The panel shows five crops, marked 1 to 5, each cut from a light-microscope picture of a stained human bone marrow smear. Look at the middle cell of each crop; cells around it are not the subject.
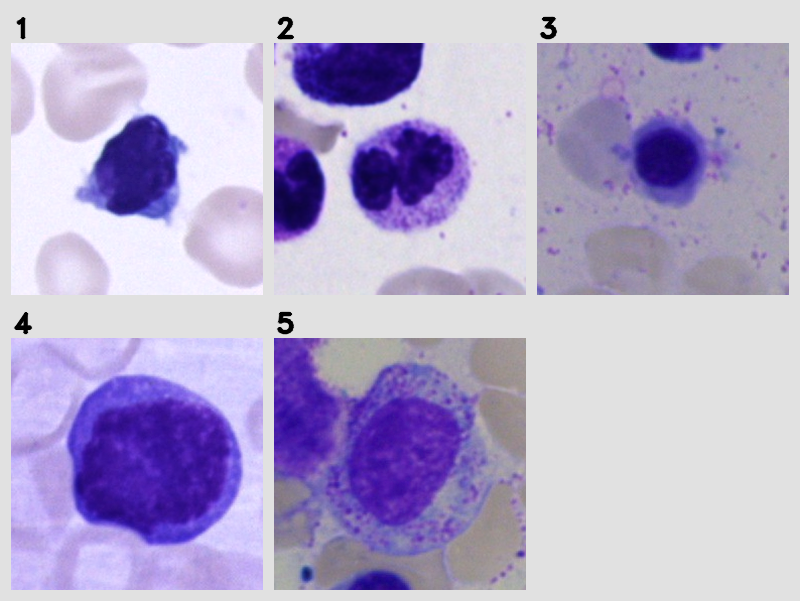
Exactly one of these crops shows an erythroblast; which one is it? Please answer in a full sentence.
It is crop 3, not any other, that shows an erythroblast.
